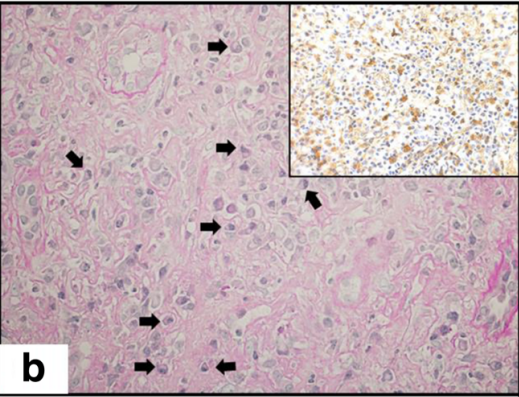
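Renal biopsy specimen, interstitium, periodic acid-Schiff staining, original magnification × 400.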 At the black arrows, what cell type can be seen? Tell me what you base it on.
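Plasma cell. The marked cells have round, eccentrically placed nuclei. Many similar cells are scattered through the tissue between the tubules.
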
